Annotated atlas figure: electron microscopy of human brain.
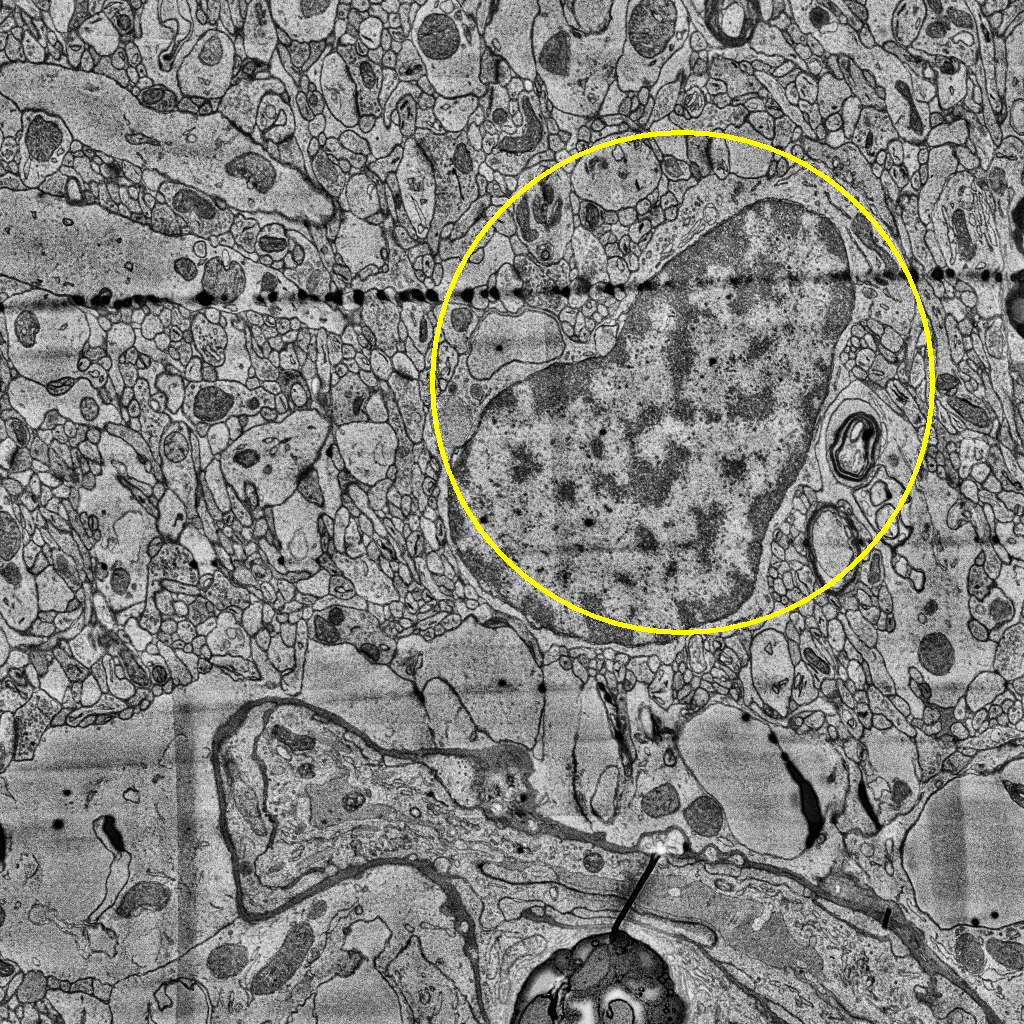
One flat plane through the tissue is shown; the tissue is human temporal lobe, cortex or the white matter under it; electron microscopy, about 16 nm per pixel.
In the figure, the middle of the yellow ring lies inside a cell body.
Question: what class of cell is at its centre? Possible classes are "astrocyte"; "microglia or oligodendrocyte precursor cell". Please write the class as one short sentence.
The yellow ring's centre lies in a microglial cell or oligodendrocyte precursor cell.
